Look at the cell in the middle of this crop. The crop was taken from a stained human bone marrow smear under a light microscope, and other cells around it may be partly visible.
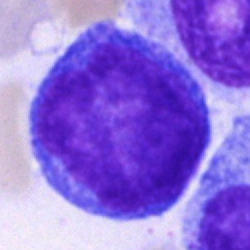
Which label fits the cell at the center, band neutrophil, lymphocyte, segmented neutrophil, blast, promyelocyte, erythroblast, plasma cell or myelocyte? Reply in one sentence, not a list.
In the center of this field lies a blast.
